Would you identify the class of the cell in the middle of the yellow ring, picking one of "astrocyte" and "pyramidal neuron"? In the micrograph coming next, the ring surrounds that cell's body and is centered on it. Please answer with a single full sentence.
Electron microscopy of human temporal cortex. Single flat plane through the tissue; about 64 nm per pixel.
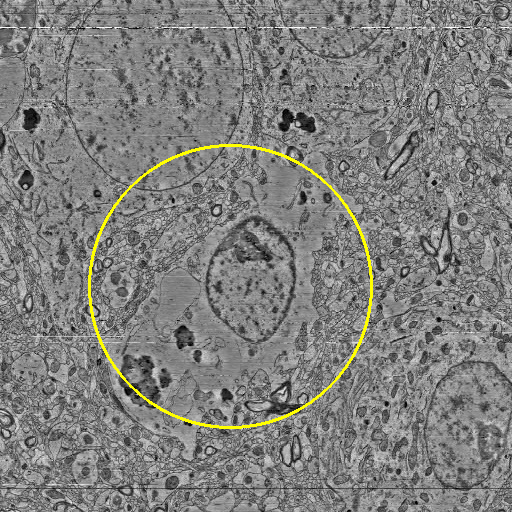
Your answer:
In the micrograph, it is an astrocyte whose body lies at the ring's center.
